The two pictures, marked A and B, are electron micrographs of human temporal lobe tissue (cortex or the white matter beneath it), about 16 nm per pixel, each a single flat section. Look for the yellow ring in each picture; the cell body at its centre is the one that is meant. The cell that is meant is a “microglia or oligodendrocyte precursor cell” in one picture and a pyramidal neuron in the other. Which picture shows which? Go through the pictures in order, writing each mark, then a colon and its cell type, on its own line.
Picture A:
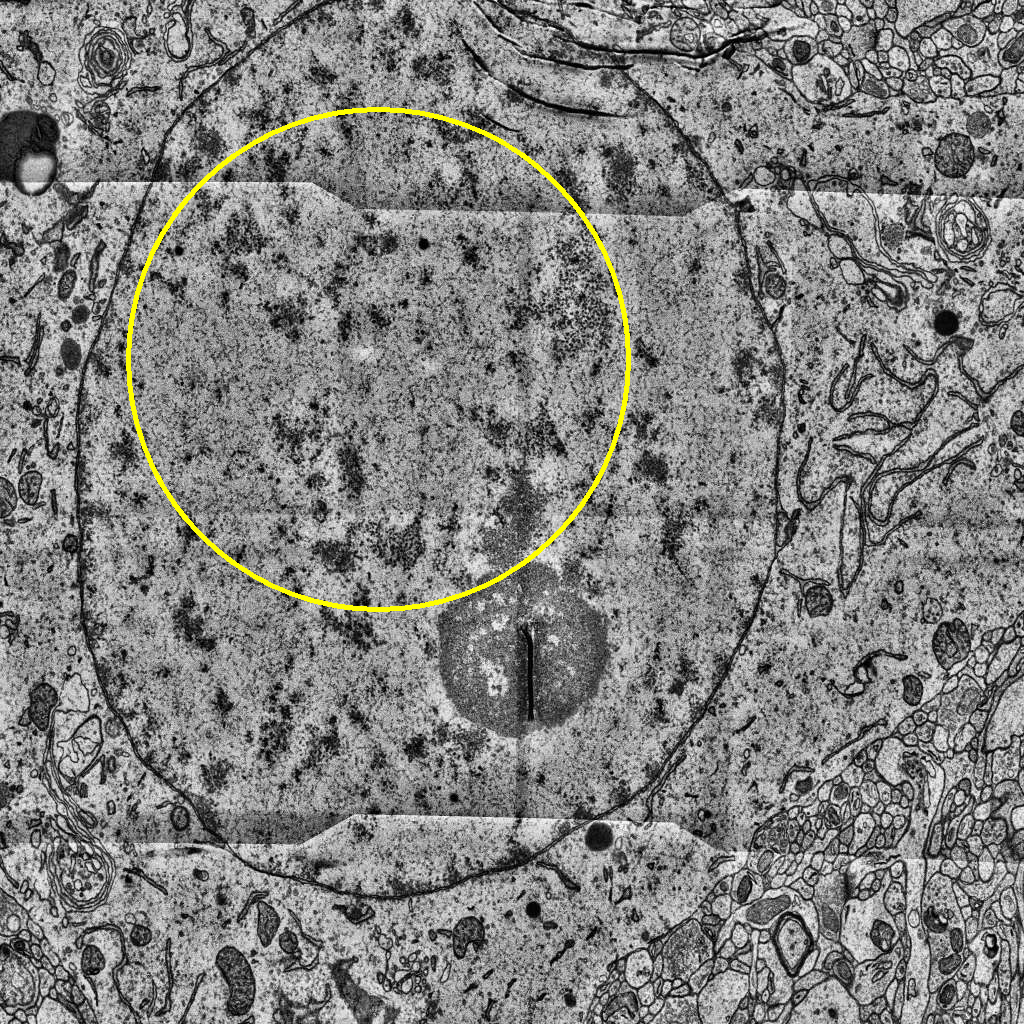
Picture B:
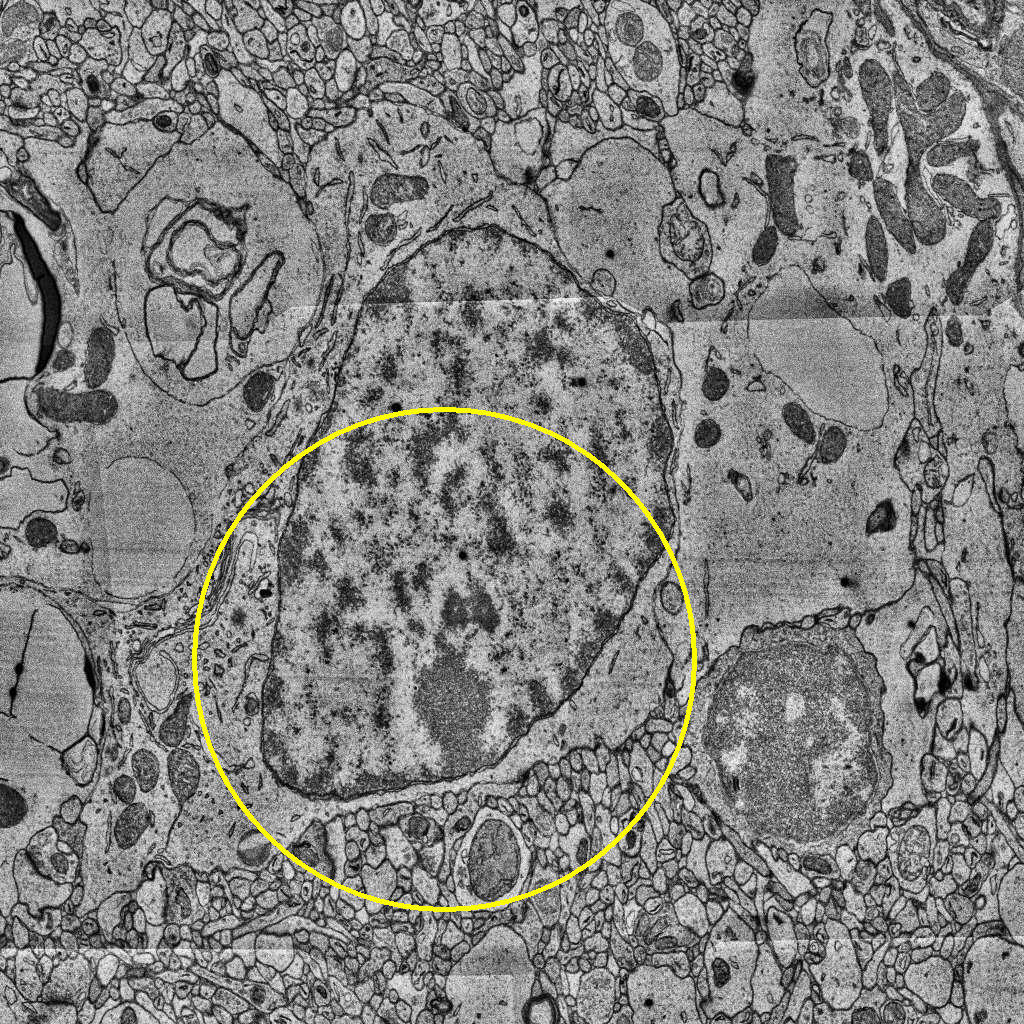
A: pyramidal neuron
B: microglia or oligodendrocyte precursor cell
